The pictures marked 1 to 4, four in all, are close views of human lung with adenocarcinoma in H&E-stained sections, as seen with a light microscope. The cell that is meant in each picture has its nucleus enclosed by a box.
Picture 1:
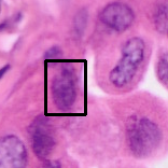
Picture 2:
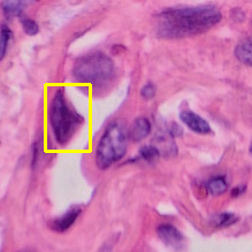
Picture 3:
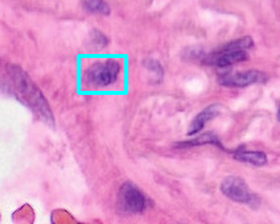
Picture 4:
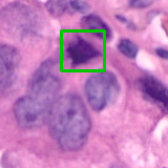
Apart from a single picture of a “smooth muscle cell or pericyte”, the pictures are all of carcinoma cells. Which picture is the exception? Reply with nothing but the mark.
3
